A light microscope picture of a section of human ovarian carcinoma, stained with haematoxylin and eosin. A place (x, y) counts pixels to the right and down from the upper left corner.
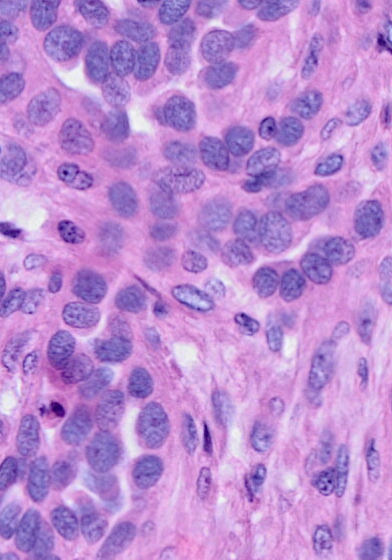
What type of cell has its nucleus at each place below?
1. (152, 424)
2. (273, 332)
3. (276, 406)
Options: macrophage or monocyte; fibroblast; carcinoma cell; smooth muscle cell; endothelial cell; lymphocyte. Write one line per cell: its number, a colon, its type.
1: carcinoma cell
2: fibroblast
3: fibroblast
